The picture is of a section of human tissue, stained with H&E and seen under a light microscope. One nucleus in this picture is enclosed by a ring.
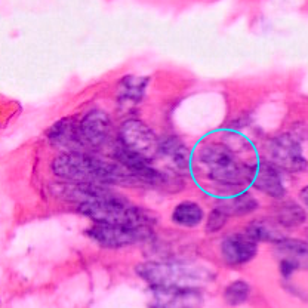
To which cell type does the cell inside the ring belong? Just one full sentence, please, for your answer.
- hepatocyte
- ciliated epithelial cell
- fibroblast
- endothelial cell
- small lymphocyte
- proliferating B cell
For the purposes of cell typing, the cell inside the ring is categorized as a ciliated epithelial cell.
